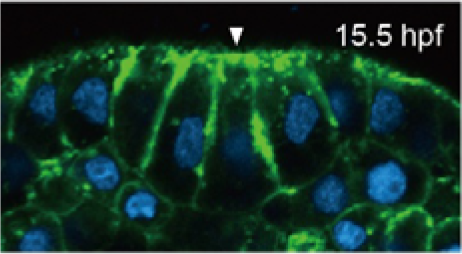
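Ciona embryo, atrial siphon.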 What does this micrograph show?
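Tall, columnar cells stand side by side, their borders drawn as green lines running from the gently domed outer surface down toward the base. Each cell holds one oval blue nucleus, and the outer edge of the sheet is lined by a bright green band. Below the epithelium lie rounder cells with their own blue nuclei.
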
